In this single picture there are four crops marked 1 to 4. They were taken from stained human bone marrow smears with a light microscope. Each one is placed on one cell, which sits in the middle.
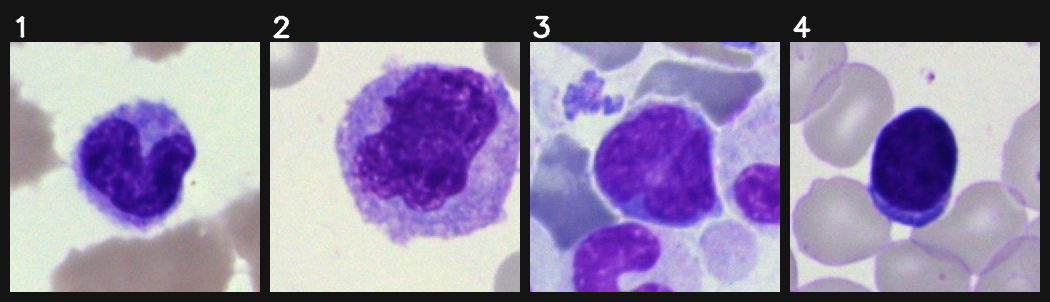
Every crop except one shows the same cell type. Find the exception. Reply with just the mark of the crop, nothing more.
4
